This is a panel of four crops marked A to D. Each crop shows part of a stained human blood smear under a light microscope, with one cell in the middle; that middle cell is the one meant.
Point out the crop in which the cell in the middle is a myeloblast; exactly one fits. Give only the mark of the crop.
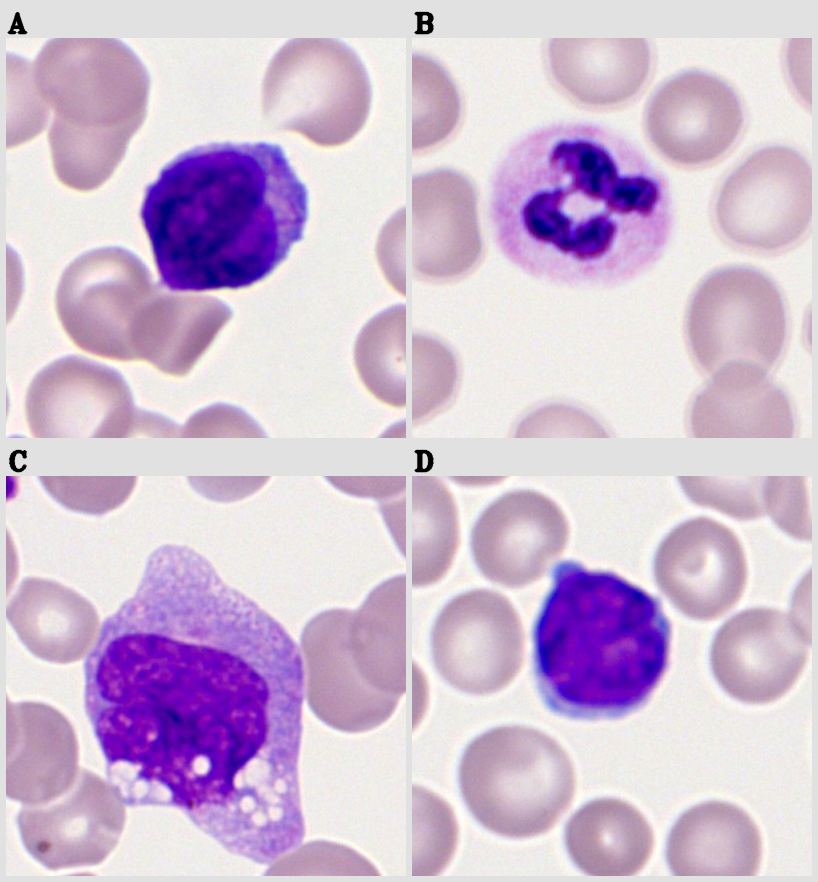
A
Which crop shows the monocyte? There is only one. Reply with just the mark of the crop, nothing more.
C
